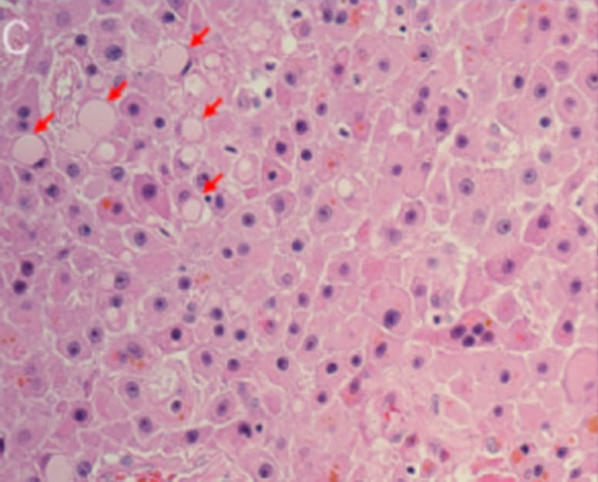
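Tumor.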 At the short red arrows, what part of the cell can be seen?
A: pale bodies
